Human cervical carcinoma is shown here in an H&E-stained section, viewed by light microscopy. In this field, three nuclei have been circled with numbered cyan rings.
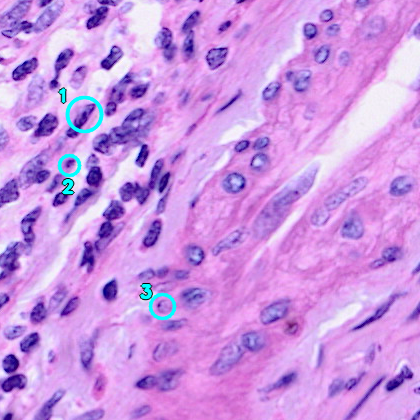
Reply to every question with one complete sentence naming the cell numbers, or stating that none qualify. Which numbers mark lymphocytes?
The cells with the numbers 1 and 2 are lymphocytes.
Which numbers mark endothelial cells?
No endothelial cells are present among the cells marked with numbers.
